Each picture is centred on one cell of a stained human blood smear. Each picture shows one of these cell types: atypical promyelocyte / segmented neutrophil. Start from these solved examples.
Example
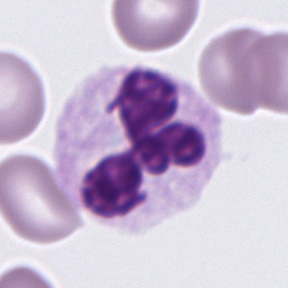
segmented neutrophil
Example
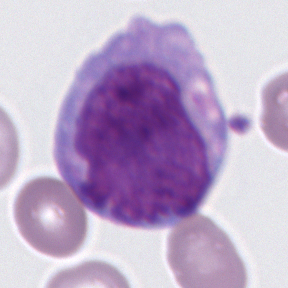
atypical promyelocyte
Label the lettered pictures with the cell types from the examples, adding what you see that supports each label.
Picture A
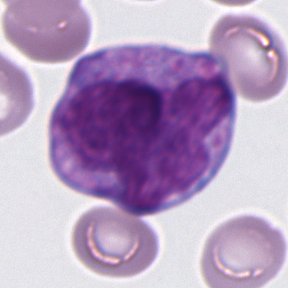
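Label: atypical promyelocyte. The nucleus fills most of the cell.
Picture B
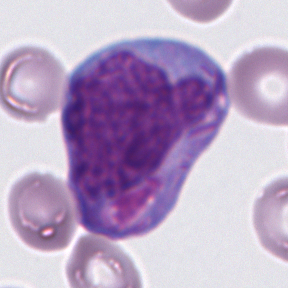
Label: atypical promyelocyte. The nucleus fills most of the cell and has an irregular, folded outline.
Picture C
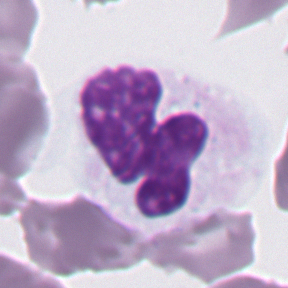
Label: segmented neutrophil. The cytoplasm is plentiful and very pale, with only a faint pinkish tint.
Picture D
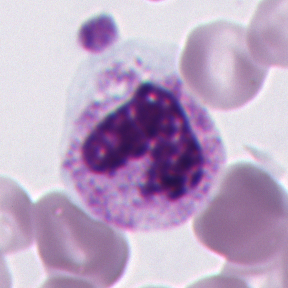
Label: segmented neutrophil. The cytoplasm is plentiful and pale.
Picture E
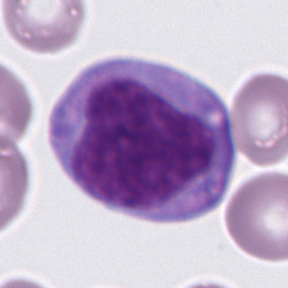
Label: atypical promyelocyte. The nucleus is large and fills most of the cell.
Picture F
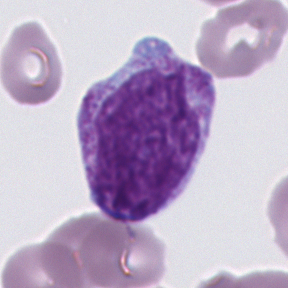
Label: atypical promyelocyte. The nucleus fills most of the cell.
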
